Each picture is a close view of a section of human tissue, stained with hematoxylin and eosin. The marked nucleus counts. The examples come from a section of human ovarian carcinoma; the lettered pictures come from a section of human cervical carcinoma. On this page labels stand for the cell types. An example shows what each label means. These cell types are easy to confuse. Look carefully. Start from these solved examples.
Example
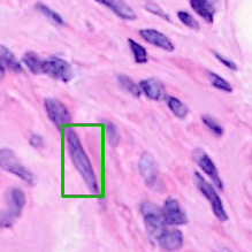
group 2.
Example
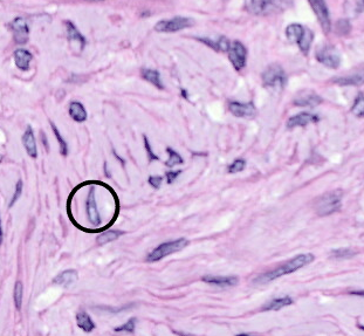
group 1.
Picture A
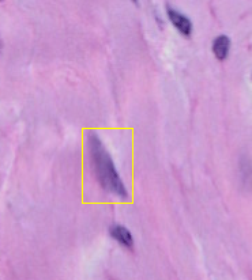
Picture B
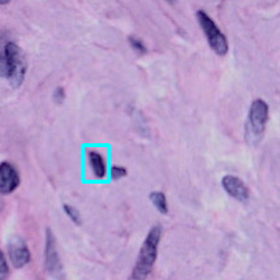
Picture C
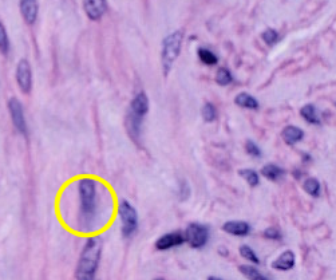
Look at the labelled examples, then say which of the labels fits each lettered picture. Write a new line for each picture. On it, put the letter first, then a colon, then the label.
A: group 1.
B: group 1.
C: group 2.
